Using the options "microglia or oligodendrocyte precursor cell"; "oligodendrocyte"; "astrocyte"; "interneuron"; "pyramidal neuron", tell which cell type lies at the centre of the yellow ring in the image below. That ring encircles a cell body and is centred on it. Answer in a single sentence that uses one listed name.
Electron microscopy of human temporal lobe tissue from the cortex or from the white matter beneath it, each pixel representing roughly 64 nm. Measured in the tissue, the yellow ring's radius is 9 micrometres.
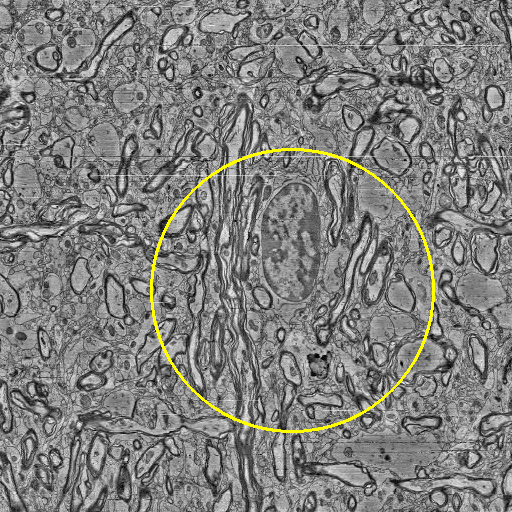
At the centre of the yellow ring lies the body of a microglial cell or oligodendrocyte precursor cell.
